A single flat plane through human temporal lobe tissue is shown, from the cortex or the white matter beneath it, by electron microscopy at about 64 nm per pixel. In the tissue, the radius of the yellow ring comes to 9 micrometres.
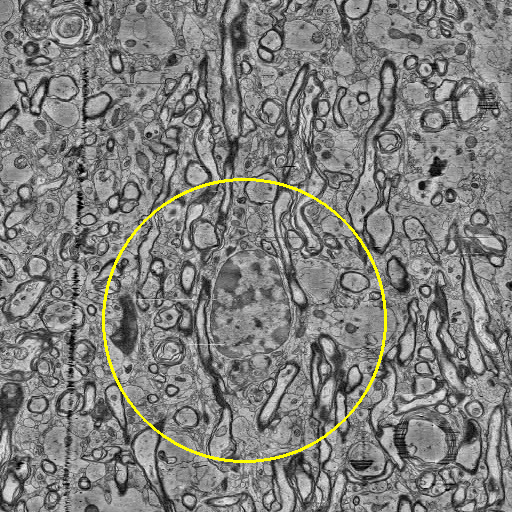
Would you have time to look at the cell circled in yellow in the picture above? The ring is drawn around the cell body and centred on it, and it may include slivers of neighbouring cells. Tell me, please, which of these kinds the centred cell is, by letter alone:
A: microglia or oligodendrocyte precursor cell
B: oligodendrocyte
A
